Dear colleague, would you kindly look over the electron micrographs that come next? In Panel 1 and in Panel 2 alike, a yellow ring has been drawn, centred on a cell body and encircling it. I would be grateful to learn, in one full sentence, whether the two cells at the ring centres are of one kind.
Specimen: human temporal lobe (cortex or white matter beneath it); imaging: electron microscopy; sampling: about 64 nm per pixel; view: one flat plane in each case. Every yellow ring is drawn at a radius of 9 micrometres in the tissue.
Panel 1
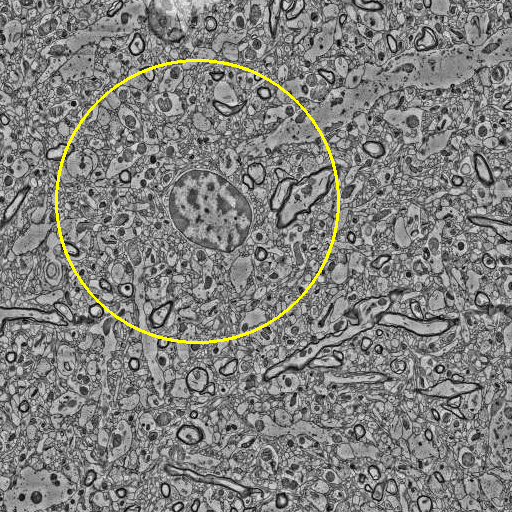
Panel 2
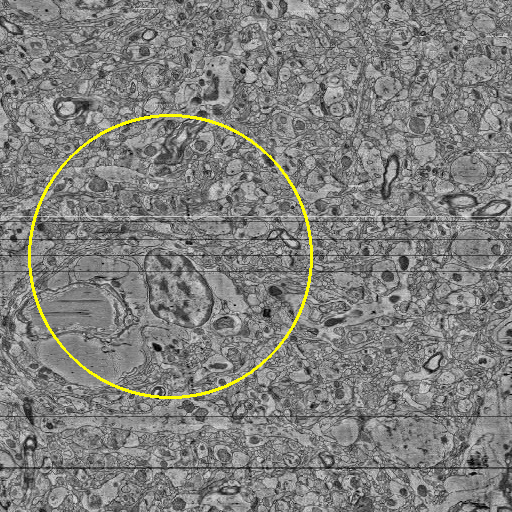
Yes, the cells in the middle of the rings in the two panels are of one kind.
